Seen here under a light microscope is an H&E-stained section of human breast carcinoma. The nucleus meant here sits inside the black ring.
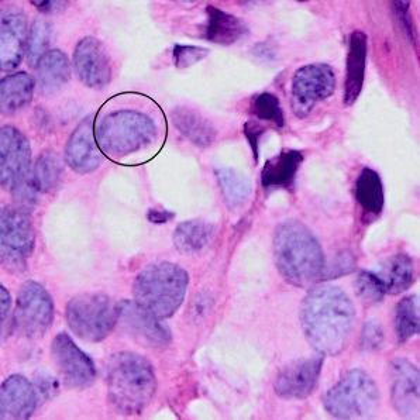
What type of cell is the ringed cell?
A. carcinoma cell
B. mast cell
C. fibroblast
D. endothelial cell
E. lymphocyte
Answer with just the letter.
A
